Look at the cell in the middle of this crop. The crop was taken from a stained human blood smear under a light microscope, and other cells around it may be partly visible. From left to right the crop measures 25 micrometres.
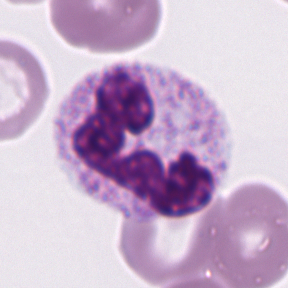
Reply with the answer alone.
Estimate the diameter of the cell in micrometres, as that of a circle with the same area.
14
